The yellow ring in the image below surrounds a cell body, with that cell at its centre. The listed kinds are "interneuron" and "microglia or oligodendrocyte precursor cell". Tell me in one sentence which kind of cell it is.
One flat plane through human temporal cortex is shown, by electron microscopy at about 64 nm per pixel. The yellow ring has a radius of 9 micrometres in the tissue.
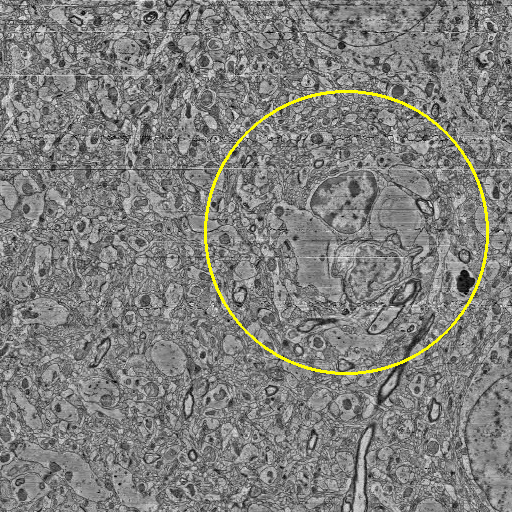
The centre of the ring holds a microglial cell or oligodendrocyte precursor cell.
